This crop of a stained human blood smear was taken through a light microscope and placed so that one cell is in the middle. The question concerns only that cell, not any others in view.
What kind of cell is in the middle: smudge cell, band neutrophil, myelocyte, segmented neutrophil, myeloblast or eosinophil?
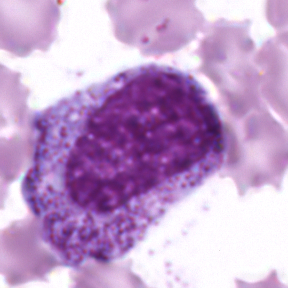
myelocyte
